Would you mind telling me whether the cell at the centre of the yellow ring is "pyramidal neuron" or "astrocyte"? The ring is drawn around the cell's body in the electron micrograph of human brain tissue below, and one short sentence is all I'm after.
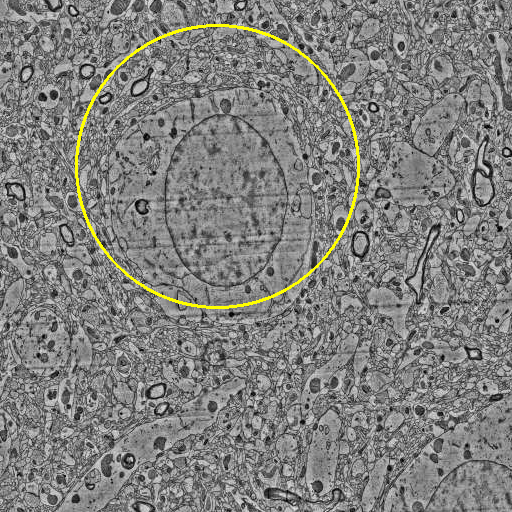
In the centre of the ring lies a pyramidal neuron.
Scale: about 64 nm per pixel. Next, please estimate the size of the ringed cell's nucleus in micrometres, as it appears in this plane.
Approximately 11 x 8 micrometres in this plane.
